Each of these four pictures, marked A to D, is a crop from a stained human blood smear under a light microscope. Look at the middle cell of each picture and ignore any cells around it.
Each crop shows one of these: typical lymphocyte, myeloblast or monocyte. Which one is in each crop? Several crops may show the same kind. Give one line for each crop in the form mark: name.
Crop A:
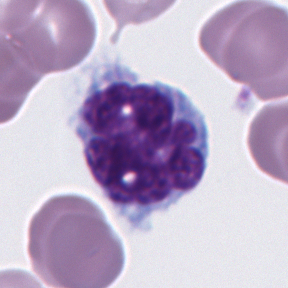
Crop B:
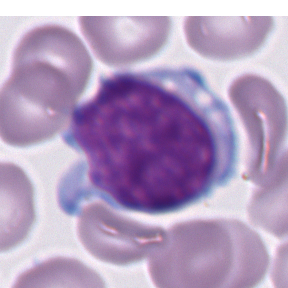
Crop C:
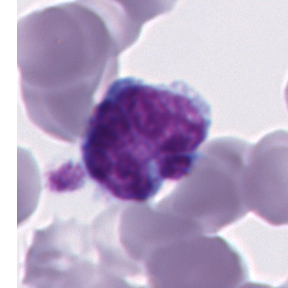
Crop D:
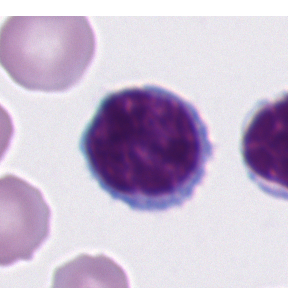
A: monocyte
B: myeloblast
C: typical lymphocyte
D: typical lymphocyte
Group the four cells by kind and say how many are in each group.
typical lymphocyte: 2
monocyte: 1
myeloblast: 1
